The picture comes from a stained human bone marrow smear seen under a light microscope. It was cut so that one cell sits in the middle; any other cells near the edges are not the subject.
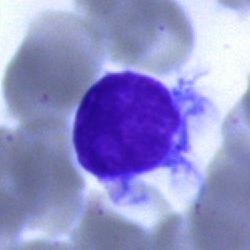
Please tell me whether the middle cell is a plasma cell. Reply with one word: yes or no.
no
